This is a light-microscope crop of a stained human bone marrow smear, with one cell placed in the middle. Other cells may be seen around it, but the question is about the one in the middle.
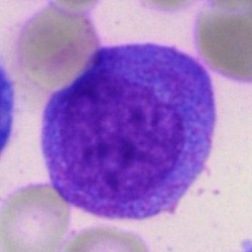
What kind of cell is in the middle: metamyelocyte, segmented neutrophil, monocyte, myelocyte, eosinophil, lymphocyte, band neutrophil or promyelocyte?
promyelocyte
